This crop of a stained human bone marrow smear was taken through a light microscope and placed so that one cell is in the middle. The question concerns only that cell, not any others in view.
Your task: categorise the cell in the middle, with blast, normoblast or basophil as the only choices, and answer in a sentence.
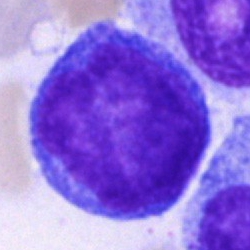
The cell at the central position in this crop is a blast.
